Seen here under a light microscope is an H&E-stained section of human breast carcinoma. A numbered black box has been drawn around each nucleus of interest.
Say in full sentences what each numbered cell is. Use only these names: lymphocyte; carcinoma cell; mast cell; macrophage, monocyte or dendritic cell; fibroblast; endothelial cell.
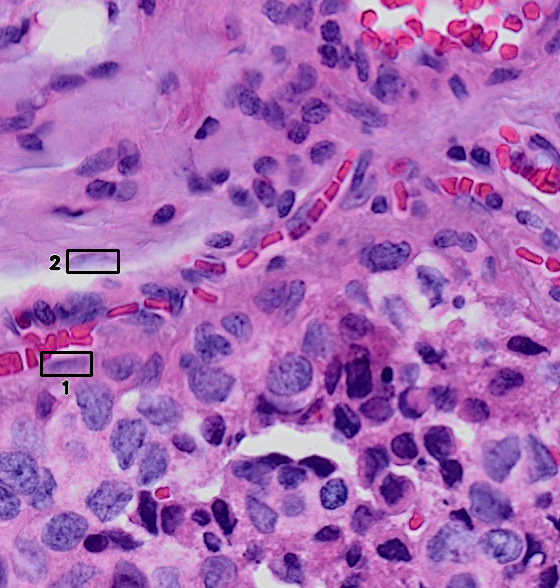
Cell 1 is an endothelial cell and cell 2 is a fibroblast.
